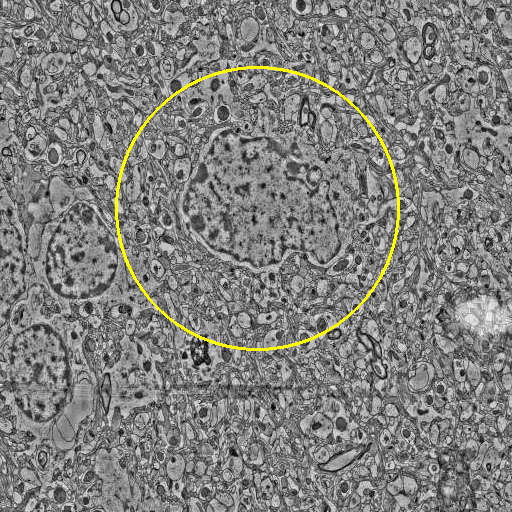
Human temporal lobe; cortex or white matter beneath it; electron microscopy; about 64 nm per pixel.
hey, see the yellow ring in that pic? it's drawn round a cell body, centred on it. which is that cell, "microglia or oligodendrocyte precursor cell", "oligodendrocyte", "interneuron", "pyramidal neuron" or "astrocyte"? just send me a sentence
The cell in the ring is a microglial cell or oligodendrocyte precursor cell.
